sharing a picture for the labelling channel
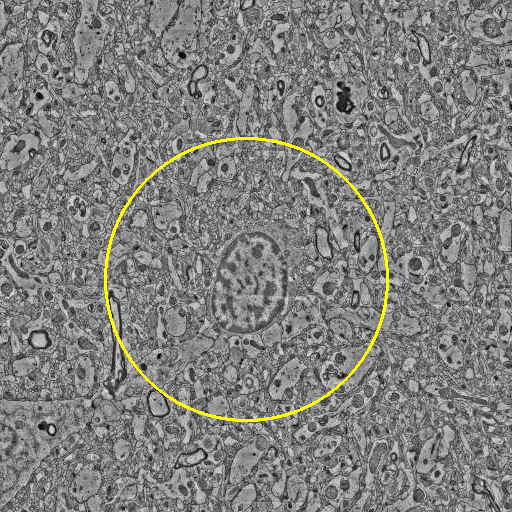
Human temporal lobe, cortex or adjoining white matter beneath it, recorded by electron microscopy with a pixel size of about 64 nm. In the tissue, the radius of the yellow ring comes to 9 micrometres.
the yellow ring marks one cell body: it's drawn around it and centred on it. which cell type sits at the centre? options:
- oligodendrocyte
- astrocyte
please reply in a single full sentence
In the picture, the cell at the ring's centre is an oligodendrocyte, going by the list.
